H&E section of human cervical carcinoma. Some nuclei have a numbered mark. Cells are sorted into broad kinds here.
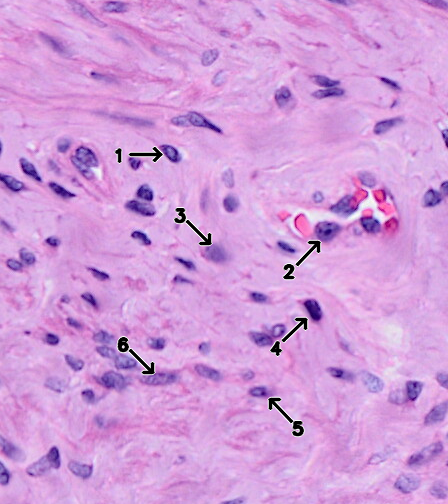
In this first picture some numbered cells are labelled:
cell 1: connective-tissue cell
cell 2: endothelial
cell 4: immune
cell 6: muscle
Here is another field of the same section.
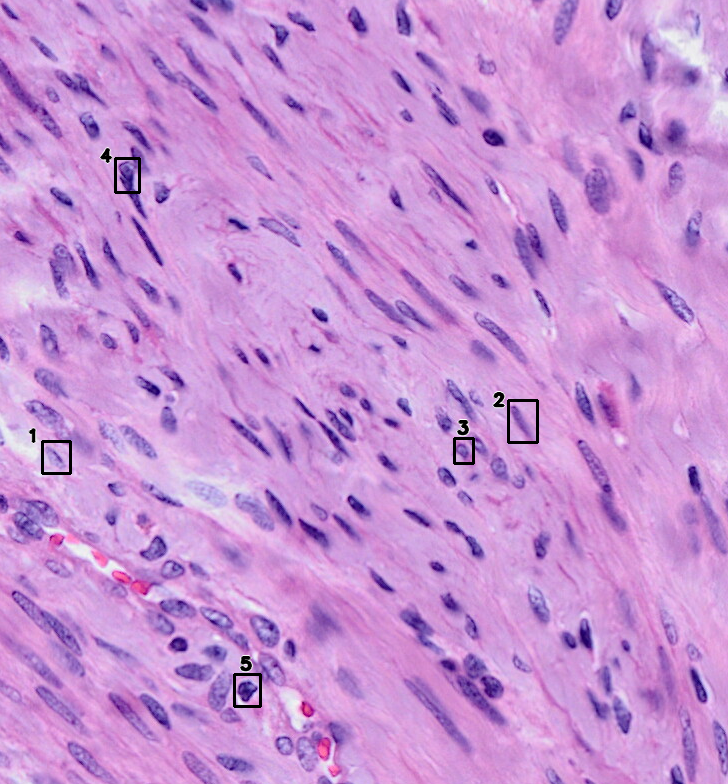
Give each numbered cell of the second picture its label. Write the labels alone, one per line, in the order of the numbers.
connective-tissue cell
muscle
muscle
connective-tissue cell
immune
